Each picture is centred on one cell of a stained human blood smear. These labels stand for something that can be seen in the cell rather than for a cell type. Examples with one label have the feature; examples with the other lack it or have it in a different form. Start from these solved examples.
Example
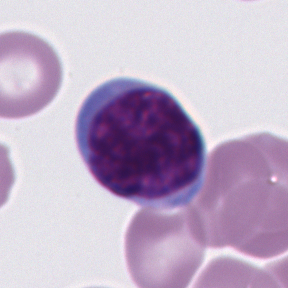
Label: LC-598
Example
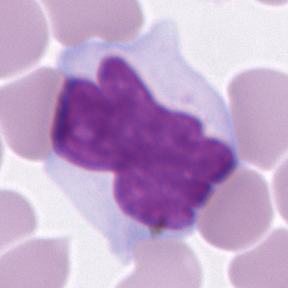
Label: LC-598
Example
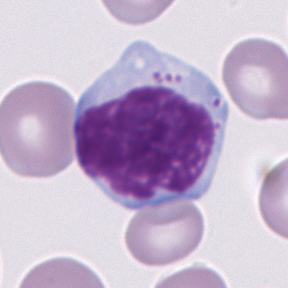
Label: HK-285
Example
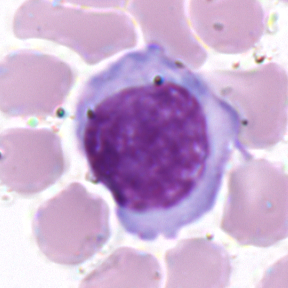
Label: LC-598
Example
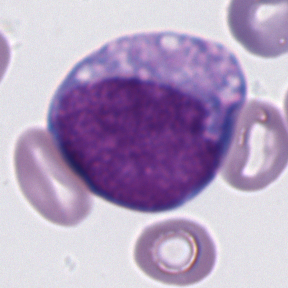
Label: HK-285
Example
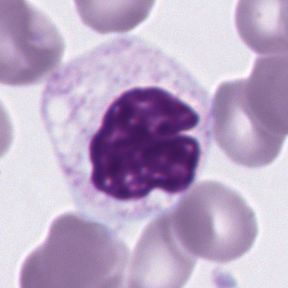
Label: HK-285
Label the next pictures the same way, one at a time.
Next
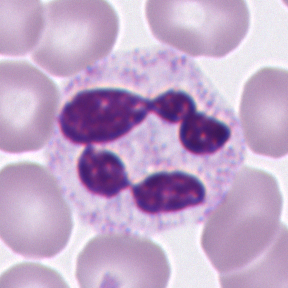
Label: LC-598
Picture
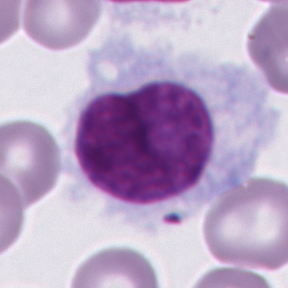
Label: HK-285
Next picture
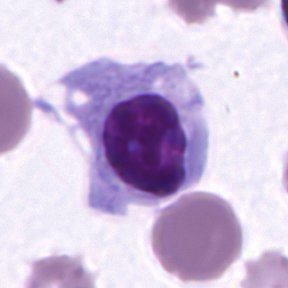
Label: HK-285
